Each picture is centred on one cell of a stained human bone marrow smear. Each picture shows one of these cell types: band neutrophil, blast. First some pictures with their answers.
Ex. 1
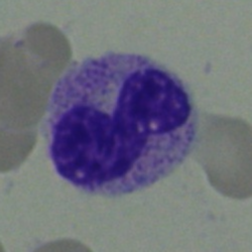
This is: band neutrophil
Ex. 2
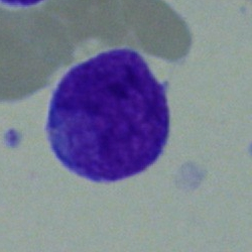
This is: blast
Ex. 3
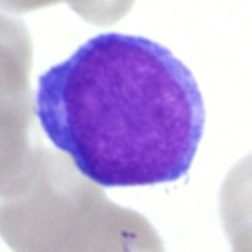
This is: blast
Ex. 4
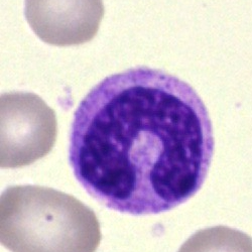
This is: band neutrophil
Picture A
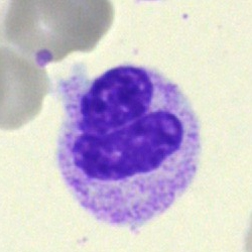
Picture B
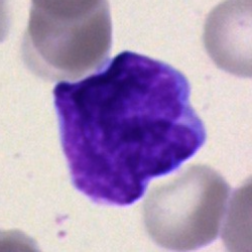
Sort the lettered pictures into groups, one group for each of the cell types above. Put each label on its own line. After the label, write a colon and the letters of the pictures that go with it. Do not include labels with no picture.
band neutrophil: A
blast: B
